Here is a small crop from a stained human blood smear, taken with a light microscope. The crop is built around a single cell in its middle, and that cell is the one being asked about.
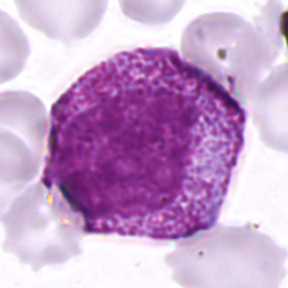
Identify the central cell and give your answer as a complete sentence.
Seen at the centre of the crop is a promyelocyte.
